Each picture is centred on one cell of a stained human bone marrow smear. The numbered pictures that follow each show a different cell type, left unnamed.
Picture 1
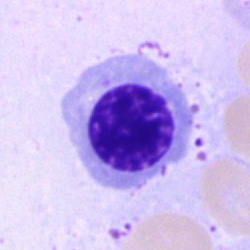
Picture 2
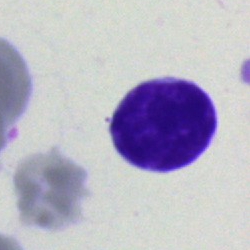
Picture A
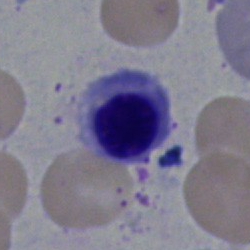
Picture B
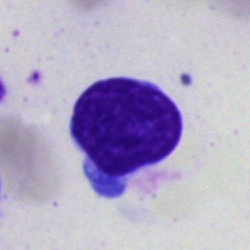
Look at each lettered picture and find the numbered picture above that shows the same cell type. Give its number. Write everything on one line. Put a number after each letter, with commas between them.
A 1, B 2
